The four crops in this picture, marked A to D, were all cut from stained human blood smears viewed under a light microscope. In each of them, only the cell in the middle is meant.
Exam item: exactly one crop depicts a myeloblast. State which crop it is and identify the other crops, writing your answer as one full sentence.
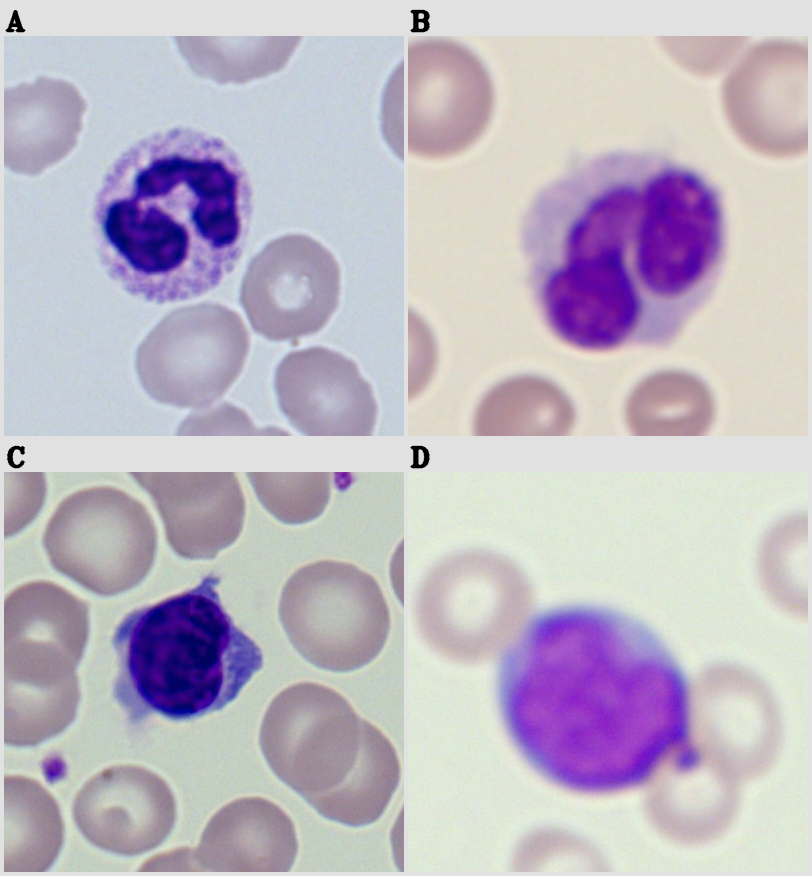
Crop D goes down as a myeloblast, while crop A is a segmented neutrophil, crop B is a monocyte and crop C is a lymphocyte.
